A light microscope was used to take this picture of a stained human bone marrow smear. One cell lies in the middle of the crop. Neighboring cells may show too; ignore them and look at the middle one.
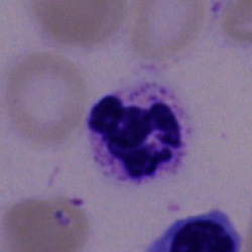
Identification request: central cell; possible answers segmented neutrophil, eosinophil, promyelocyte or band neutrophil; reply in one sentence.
The cell found in the middle of this crop is a segmented neutrophil.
